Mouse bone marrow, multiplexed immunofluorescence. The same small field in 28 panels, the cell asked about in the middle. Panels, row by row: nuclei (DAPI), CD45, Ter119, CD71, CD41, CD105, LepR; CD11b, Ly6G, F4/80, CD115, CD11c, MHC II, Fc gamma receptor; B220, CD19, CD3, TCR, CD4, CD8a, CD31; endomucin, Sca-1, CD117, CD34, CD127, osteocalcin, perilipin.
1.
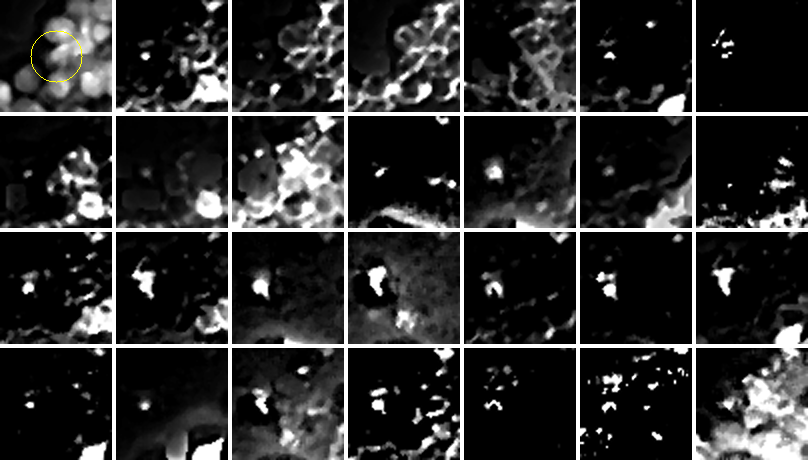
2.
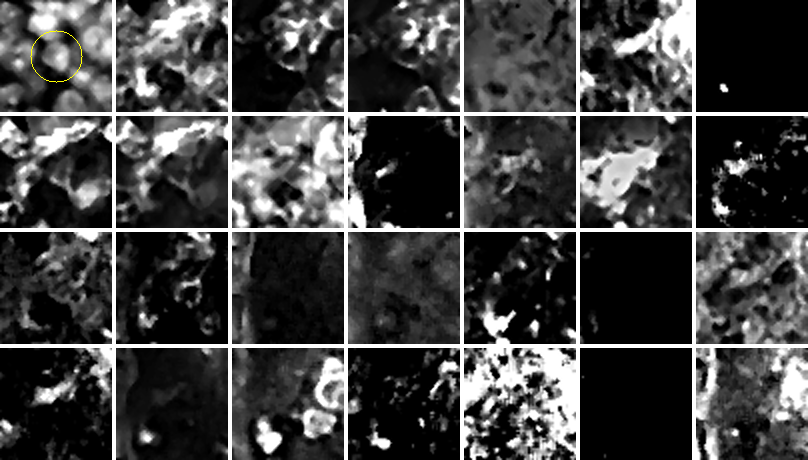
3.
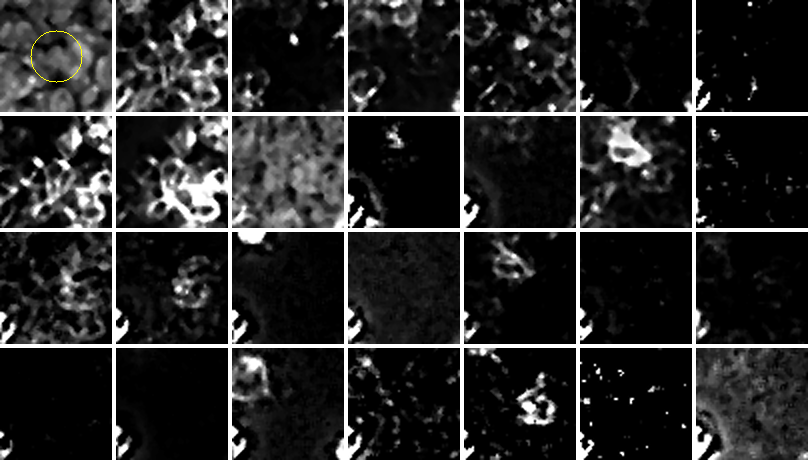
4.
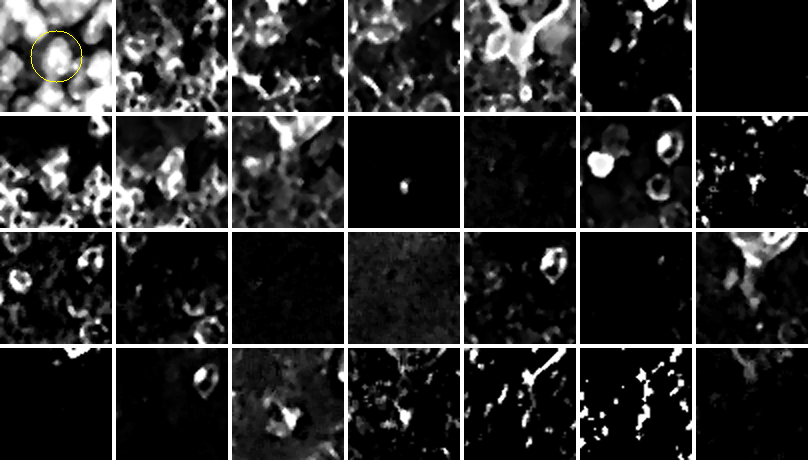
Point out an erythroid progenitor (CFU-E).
That is picture 1.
